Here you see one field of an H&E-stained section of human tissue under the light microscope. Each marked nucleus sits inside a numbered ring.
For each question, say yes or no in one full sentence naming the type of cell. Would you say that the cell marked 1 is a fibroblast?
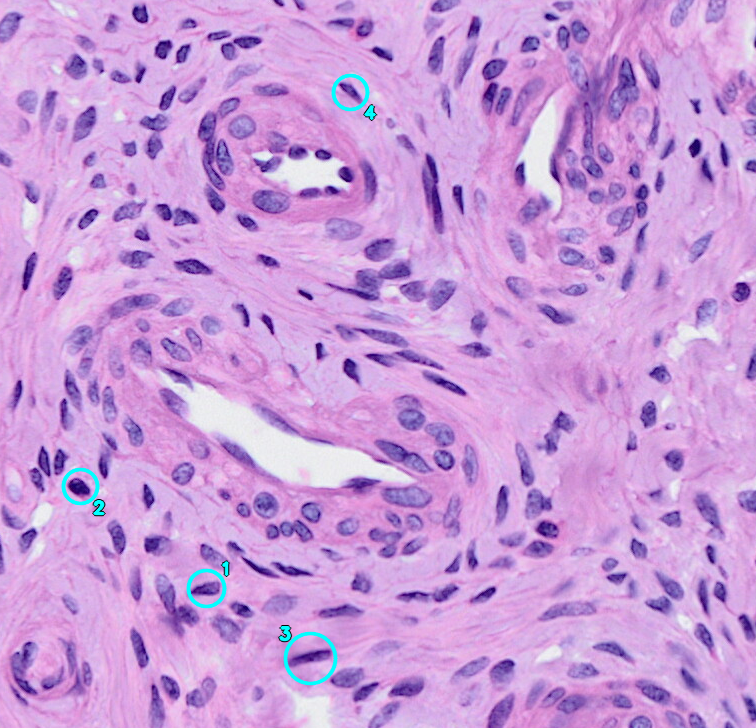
Yes, the cell that has number 1 is a fibroblast.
